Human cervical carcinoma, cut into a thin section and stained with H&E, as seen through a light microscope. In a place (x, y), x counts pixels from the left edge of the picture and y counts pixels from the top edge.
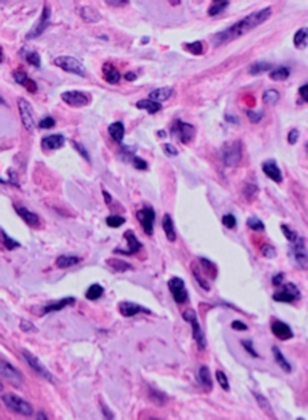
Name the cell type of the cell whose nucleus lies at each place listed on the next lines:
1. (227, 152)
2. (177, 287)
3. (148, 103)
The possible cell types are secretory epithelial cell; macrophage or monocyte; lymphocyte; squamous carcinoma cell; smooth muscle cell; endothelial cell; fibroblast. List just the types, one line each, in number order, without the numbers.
endothelial cell
lymphocyte
lymphocyte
